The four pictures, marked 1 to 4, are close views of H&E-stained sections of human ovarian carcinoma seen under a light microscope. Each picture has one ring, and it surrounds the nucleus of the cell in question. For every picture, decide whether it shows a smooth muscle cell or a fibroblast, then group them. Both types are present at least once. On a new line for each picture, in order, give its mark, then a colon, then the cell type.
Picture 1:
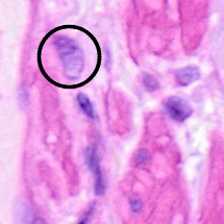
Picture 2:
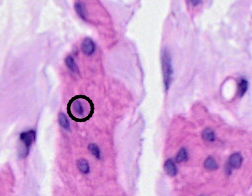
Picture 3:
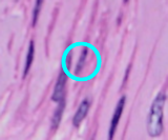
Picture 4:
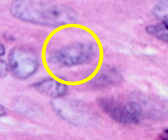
1: fibroblast
2: smooth muscle cell
3: fibroblast
4: fibroblast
